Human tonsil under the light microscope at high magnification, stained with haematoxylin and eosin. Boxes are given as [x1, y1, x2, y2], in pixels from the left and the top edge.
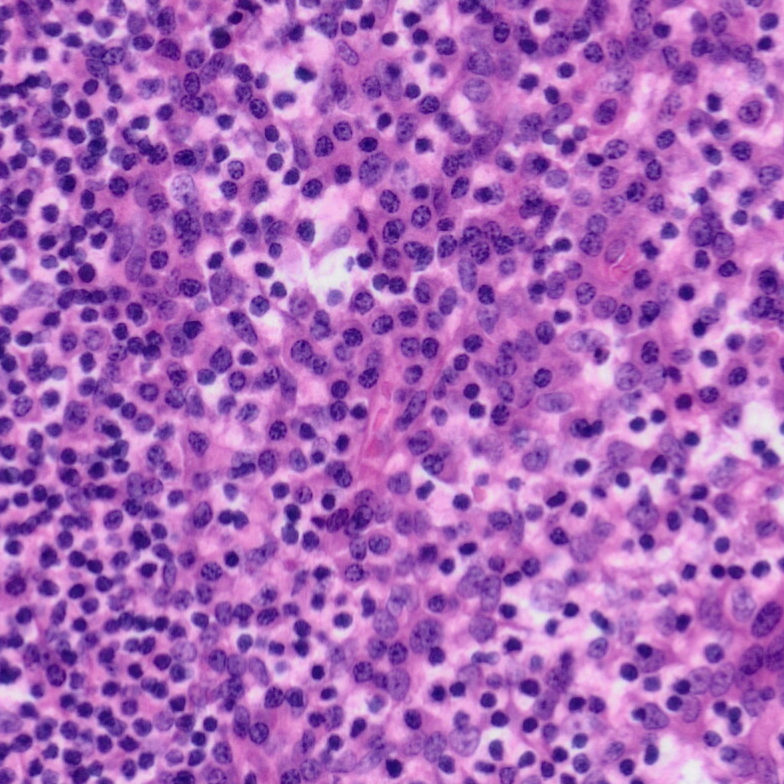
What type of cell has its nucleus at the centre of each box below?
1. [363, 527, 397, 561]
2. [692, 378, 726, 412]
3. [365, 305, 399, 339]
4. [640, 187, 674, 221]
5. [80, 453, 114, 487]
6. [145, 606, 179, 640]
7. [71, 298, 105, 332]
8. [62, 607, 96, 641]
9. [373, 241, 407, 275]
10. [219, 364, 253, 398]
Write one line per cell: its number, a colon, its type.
1: plasma cell
2: plasma cell
3: plasma cell
4: plasma cell
5: small lymphocyte
6: small lymphocyte
7: small lymphocyte
8: small lymphocyte
9: plasma cell
10: plasma cell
